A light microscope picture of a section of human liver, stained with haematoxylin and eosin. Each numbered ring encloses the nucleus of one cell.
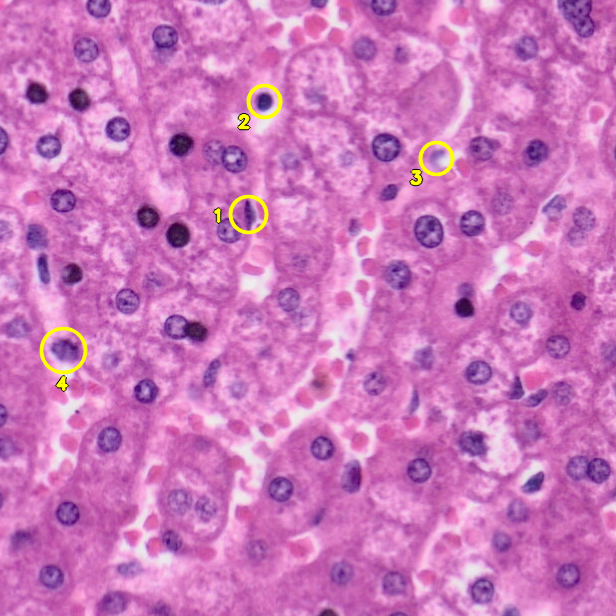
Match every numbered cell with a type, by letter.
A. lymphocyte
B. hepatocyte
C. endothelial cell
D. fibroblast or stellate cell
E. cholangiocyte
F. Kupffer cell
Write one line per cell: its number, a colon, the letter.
1: C
2: A
3: C
4: C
